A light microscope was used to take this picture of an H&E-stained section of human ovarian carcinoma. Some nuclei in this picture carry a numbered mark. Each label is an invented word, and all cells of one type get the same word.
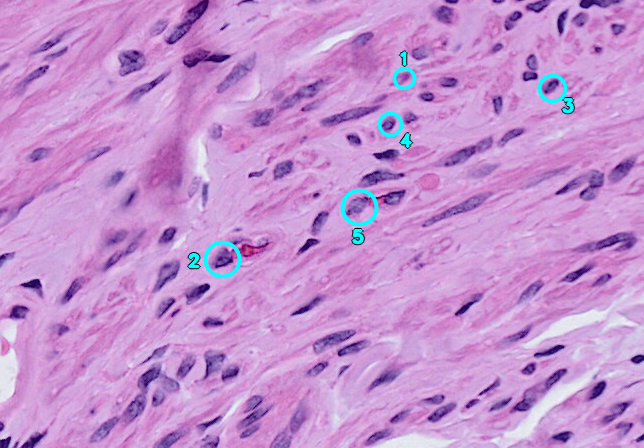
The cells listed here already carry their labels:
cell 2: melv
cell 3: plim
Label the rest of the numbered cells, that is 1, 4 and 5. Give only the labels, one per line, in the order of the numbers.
plim
plim
melv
